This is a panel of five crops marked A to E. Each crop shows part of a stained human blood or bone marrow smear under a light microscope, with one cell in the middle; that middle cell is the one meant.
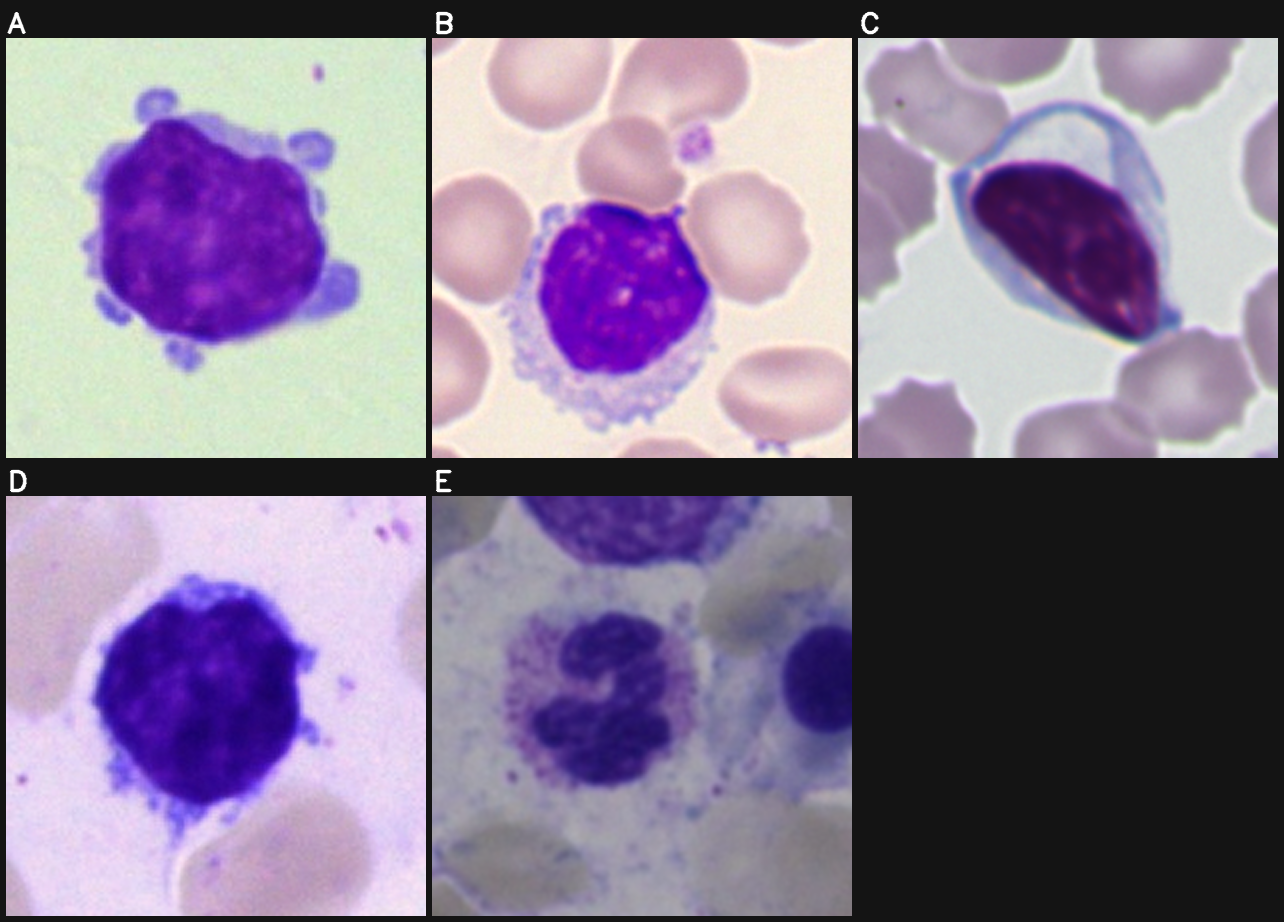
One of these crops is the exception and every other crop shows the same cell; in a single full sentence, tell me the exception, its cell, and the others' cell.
Excluding crop E, which is a basophil, the crops all show lymphocytes.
